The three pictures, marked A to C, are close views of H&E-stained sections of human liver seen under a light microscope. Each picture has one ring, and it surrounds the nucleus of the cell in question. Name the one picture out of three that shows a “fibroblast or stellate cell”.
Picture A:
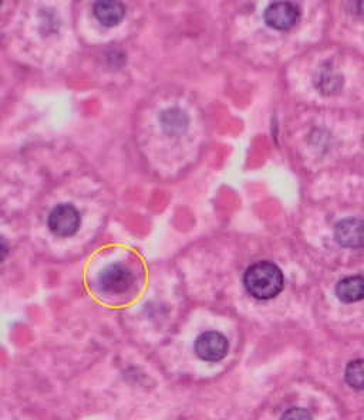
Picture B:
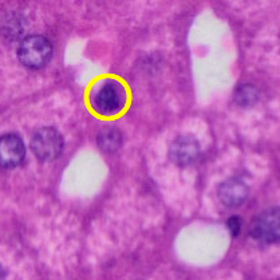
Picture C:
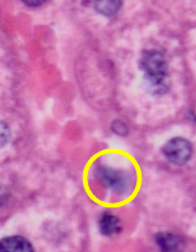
B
